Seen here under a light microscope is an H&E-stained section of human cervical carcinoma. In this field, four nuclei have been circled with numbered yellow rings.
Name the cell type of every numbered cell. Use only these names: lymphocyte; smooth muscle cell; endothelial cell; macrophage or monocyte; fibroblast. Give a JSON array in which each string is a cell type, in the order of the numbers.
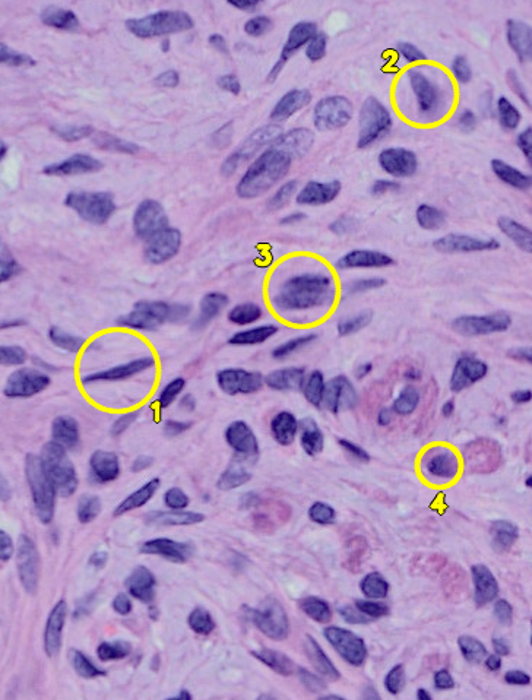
["fibroblast", "fibroblast", "fibroblast", "smooth muscle cell"]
